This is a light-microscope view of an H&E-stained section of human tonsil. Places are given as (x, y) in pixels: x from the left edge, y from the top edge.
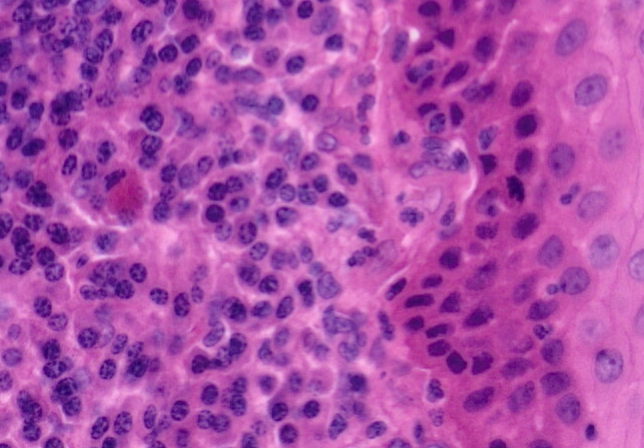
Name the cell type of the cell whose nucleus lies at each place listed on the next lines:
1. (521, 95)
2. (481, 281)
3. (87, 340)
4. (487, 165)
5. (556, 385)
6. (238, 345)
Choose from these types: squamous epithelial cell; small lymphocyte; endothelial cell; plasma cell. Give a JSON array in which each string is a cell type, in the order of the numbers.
["squamous epithelial cell", "squamous epithelial cell", "plasma cell", "squamous epithelial cell", "squamous epithelial cell", "plasma cell"]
